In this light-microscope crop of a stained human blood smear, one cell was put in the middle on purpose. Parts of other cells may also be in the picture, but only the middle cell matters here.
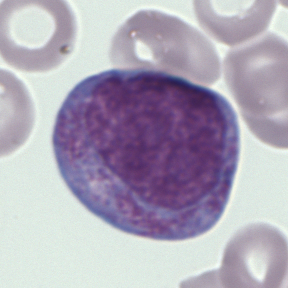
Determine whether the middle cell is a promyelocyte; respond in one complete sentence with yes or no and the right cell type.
Yes, the centrally placed cell is a promyelocyte.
